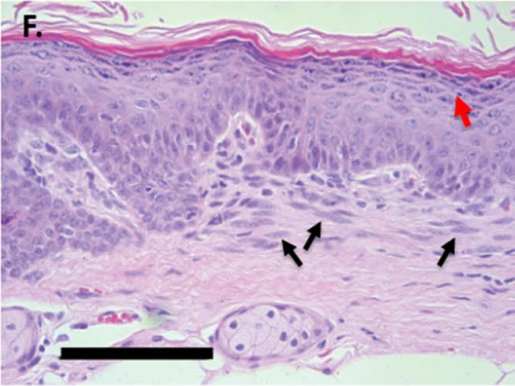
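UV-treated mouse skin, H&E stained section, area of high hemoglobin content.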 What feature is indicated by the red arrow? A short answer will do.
Prominent stratum granulosum.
